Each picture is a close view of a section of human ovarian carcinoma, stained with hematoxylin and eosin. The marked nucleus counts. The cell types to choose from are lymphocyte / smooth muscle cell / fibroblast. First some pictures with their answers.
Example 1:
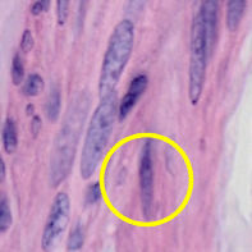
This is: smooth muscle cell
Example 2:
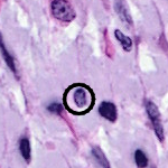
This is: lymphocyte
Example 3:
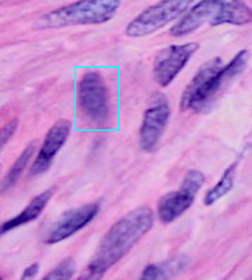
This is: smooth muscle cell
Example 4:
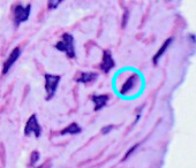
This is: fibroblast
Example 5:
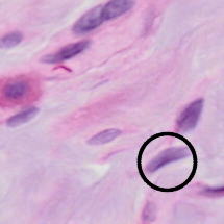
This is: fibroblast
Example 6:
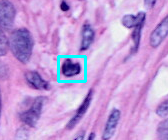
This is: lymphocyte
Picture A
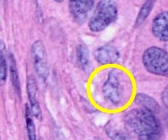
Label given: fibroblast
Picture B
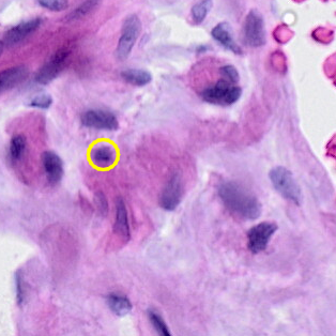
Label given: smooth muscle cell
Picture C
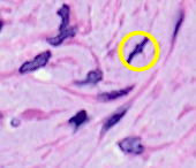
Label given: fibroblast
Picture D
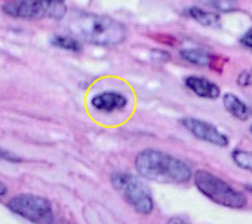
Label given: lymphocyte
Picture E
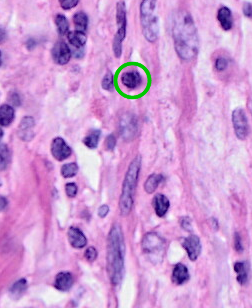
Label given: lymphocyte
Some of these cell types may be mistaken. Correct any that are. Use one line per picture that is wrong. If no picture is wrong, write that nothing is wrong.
All correct.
